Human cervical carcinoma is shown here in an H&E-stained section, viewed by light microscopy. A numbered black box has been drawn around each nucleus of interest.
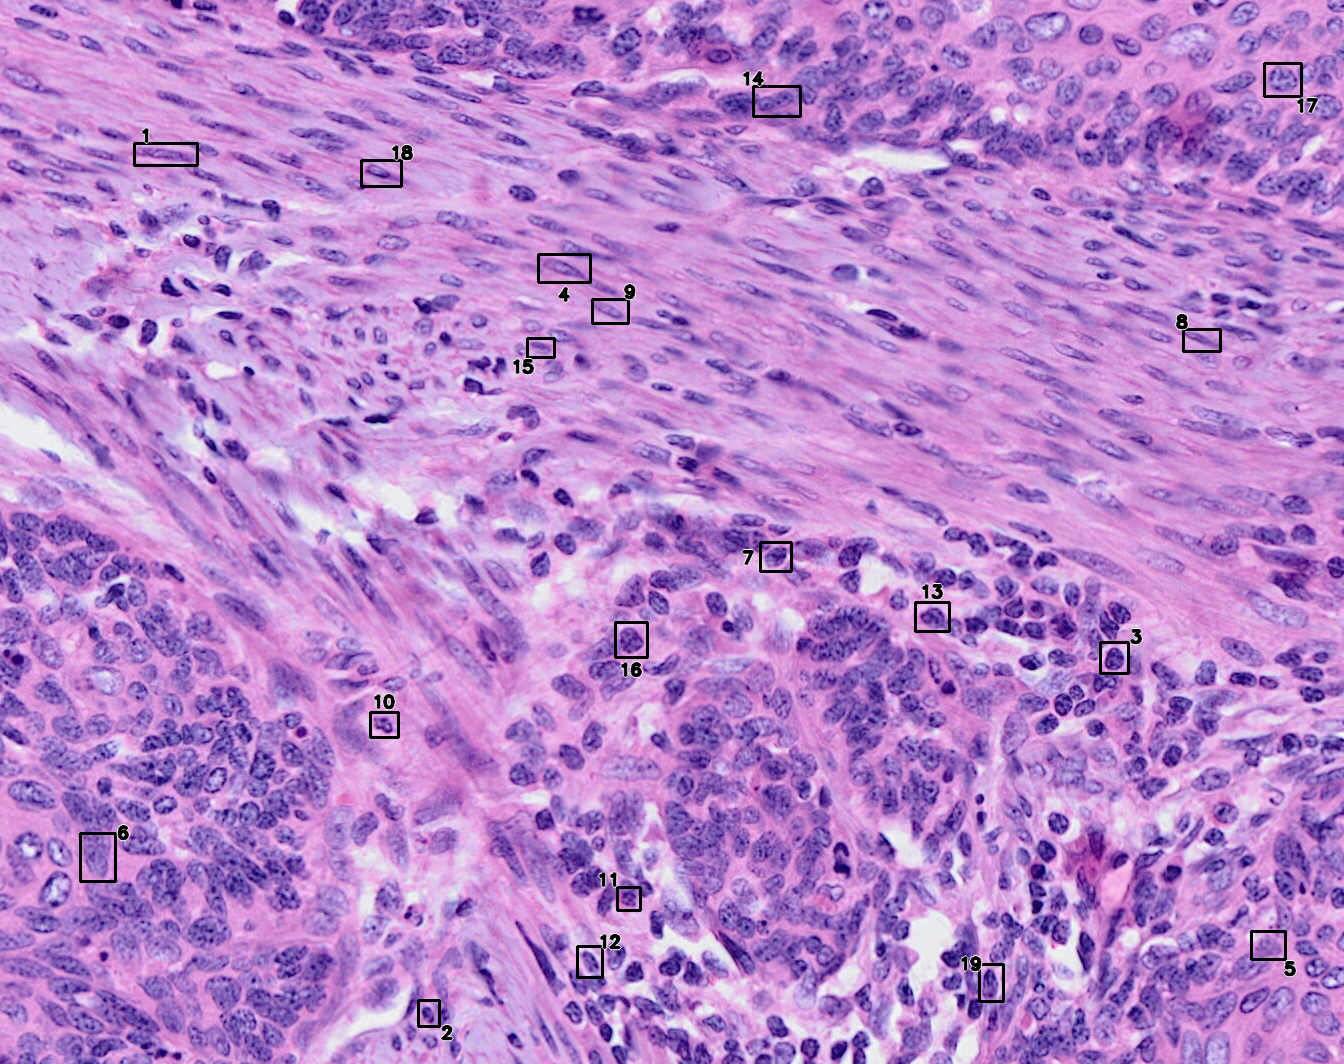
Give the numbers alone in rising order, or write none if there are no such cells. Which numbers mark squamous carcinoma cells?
5, 6, 14, 17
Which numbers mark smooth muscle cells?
1, 4, 8, 9, 15, 18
